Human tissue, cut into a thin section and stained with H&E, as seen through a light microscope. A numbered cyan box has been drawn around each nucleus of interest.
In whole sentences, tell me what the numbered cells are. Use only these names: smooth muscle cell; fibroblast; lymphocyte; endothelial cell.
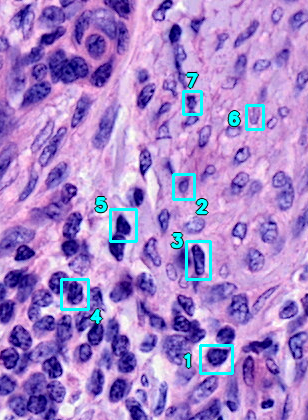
Cell 1 is a lymphocyte, cell 2 is a smooth muscle cell, cell 3 is a lymphocyte, cell 4 is a lymphocyte, cell 5 is a lymphocyte, cell 6 is a smooth muscle cell and cell 7 is a smooth muscle cell.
